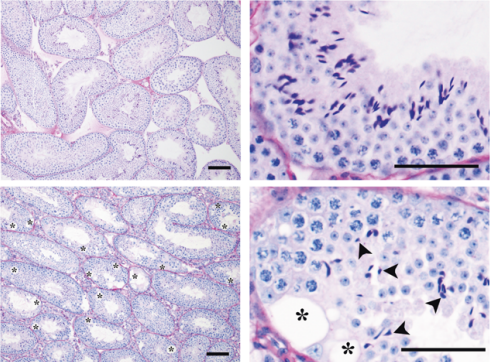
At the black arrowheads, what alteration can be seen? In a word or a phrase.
Ill-shaped nuclei.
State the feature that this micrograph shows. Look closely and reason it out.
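Seminiferous tubules. Round and oval tubule cross-sections packed side by side with a central lumen. Each tubule is lined by several layers of round-nucleated cells.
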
